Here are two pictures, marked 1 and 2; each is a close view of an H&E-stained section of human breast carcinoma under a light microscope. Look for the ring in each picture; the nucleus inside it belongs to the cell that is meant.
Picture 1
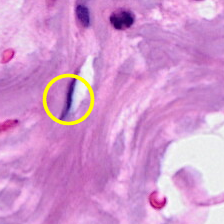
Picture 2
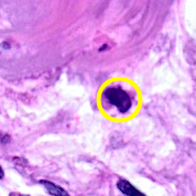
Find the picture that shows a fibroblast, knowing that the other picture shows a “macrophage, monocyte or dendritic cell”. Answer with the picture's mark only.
1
